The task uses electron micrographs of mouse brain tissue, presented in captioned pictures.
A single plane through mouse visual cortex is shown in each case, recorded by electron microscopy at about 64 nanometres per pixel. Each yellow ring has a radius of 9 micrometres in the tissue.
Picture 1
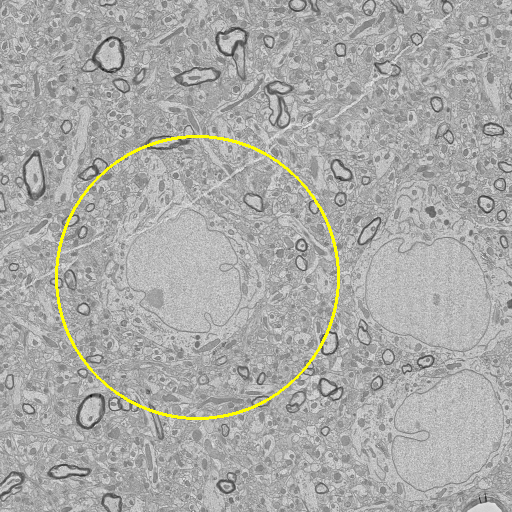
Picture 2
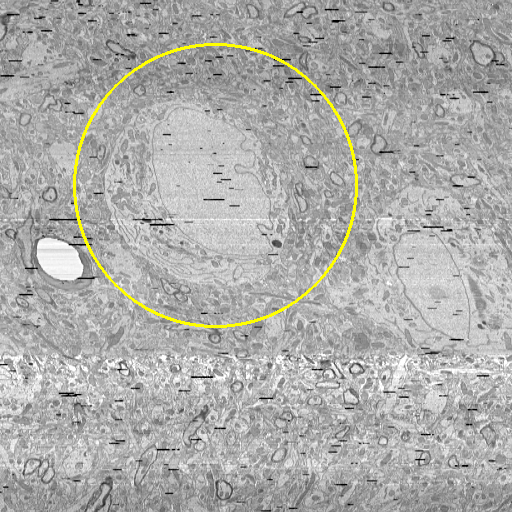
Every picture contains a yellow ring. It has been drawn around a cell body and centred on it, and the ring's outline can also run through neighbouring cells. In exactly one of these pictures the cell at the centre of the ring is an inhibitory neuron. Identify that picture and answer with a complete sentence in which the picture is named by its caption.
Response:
The ring in Picture 2 is centred on that kind of cell.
